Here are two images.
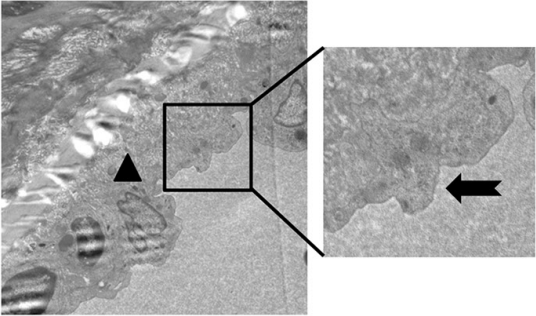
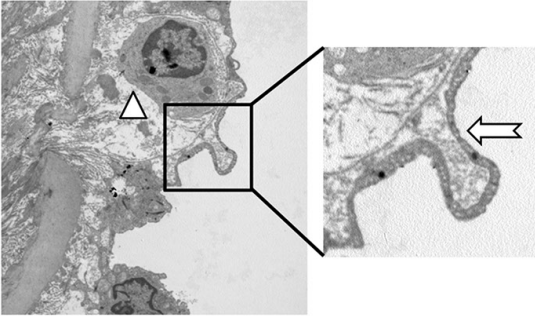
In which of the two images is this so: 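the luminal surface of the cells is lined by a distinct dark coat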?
The second image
